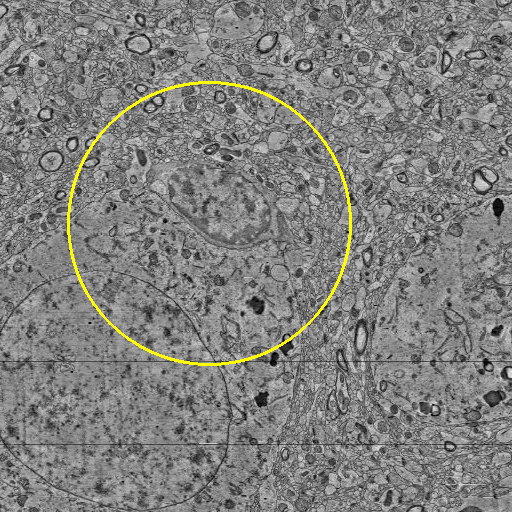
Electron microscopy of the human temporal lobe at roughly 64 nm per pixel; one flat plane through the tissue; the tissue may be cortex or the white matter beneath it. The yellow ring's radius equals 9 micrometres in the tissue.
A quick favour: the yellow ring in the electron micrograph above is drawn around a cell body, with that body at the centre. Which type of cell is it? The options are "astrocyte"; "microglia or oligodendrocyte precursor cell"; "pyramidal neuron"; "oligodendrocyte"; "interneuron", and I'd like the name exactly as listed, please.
oligodendrocyte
